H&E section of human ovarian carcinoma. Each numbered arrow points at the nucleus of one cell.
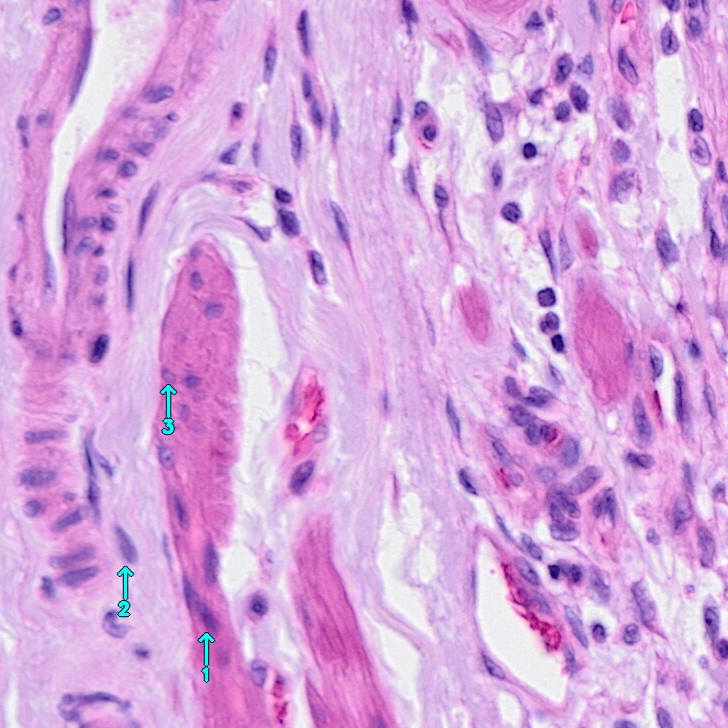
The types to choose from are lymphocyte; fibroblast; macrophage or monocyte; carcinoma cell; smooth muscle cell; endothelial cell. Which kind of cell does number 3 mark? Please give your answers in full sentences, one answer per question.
The cell indicated with the number 3 is classed as a smooth muscle cell.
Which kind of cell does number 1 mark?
The cell whose nucleus carries the number 1 is a smooth muscle cell.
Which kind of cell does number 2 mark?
The nucleus with number 2 is that of a fibroblast.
